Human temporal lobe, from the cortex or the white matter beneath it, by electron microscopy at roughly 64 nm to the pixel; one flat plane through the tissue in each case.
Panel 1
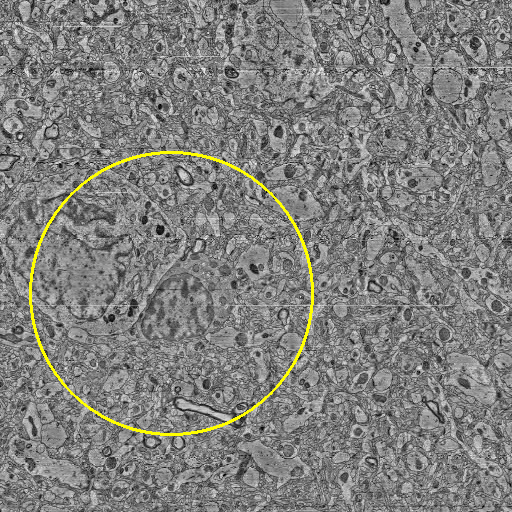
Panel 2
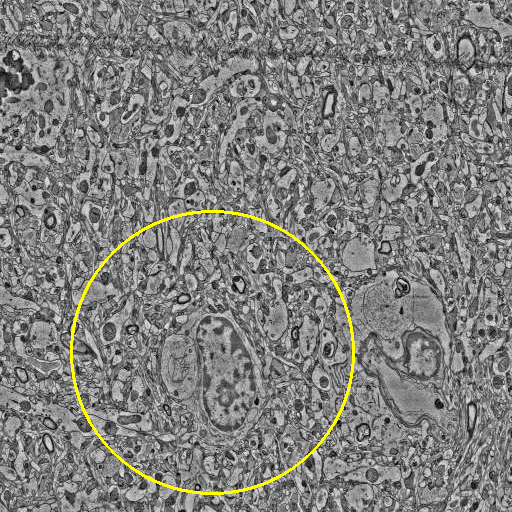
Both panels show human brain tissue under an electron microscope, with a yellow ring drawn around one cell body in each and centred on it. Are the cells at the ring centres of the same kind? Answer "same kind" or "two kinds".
two kinds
